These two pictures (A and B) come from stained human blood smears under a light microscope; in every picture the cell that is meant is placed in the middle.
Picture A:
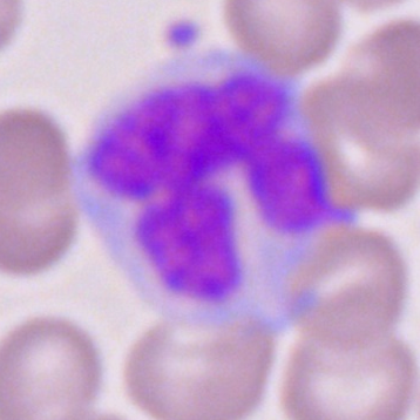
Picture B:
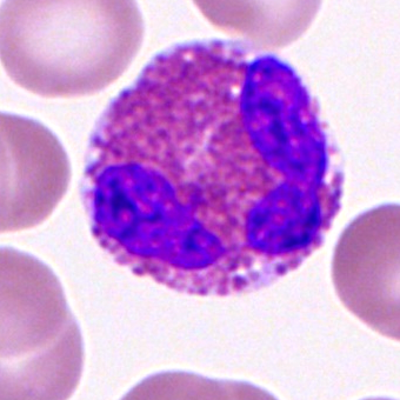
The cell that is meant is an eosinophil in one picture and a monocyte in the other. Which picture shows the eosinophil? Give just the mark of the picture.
B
